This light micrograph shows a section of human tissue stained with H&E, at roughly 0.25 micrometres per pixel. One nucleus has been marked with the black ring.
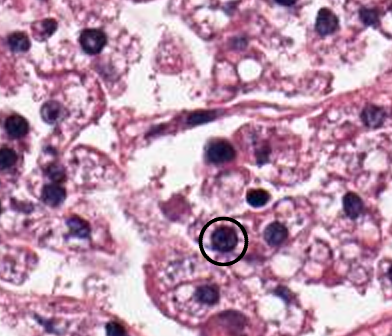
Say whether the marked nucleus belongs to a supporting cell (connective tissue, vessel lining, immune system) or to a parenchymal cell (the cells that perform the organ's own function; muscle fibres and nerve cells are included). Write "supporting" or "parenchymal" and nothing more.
parenchymal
